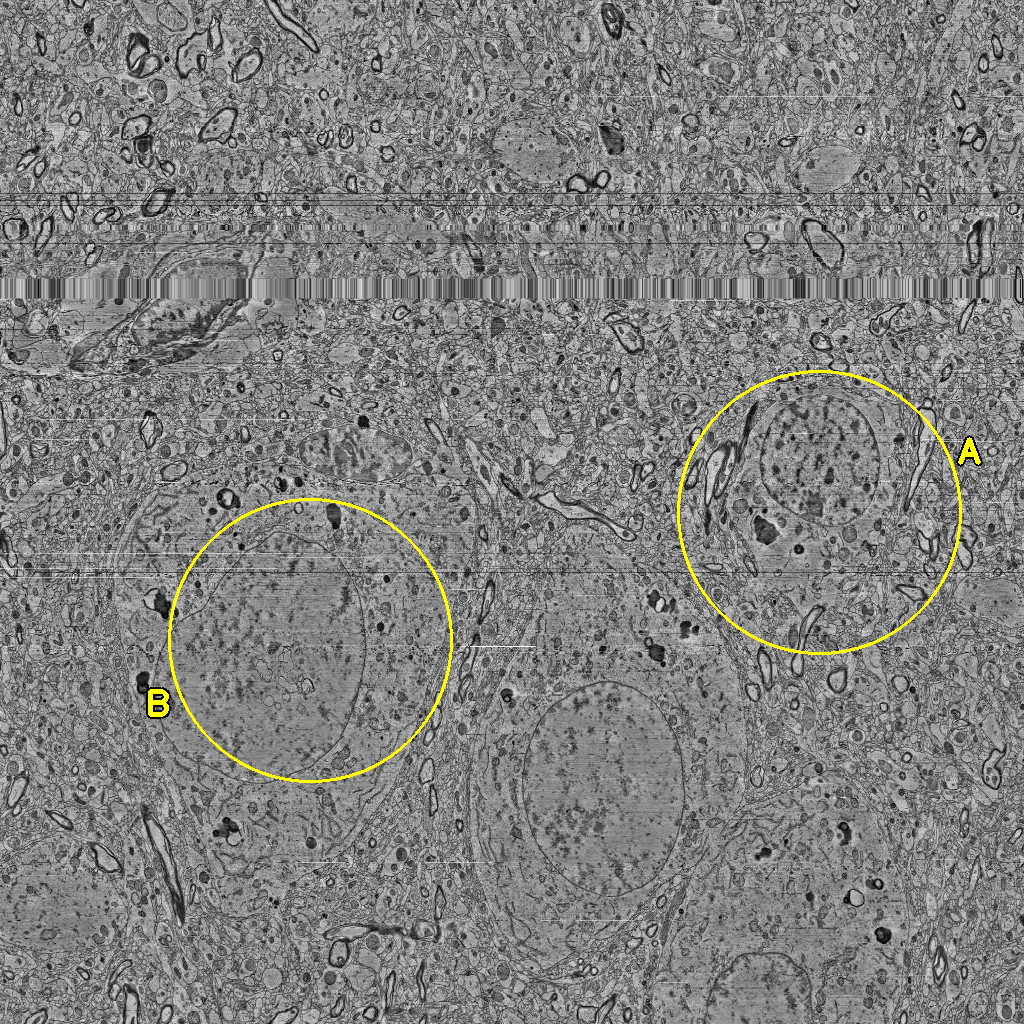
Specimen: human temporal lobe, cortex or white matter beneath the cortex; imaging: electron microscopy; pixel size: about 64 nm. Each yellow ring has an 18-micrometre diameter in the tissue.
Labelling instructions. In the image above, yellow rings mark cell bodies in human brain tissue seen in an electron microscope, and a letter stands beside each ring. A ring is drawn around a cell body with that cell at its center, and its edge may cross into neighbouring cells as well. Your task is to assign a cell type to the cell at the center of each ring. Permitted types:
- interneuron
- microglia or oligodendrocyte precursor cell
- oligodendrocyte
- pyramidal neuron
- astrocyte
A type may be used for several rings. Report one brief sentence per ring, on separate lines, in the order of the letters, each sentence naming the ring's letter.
The cell at the center of ring A is an astrocyte.
The cell at the center of ring B is a pyramidal neuron.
